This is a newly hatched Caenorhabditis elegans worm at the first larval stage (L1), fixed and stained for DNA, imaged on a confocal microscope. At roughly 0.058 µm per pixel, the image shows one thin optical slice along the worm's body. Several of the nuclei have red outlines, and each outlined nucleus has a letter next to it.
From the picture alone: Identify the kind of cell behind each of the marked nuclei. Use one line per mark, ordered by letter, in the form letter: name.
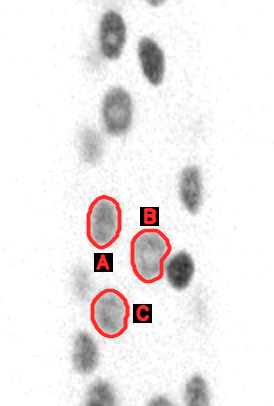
A: P cell (ventral epidermal blast cell)
B: hypodermal cell (hyp)
C: seam cell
